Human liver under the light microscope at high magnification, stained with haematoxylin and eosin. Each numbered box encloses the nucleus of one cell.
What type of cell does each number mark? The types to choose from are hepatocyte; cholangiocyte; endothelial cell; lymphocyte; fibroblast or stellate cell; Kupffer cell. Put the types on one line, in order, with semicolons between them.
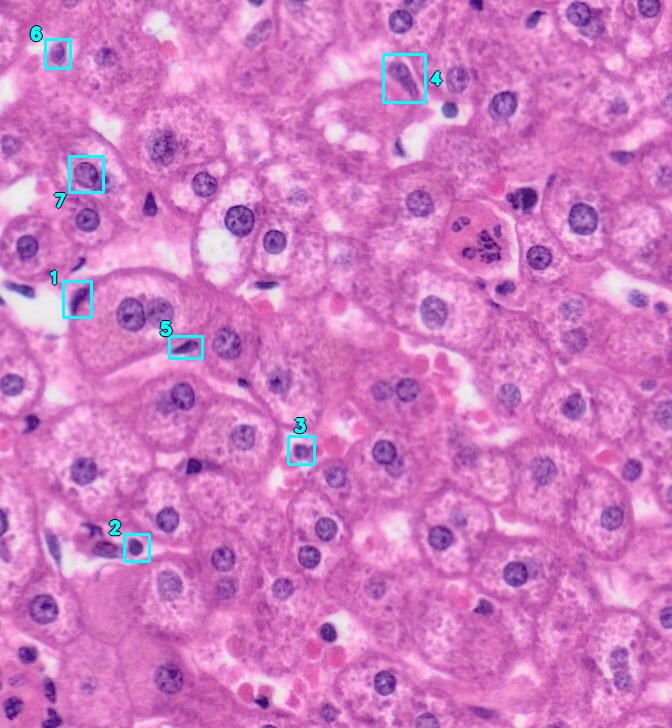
fibroblast or stellate cell; lymphocyte; lymphocyte; Kupffer cell; endothelial cell; Kupffer cell; hepatocyte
